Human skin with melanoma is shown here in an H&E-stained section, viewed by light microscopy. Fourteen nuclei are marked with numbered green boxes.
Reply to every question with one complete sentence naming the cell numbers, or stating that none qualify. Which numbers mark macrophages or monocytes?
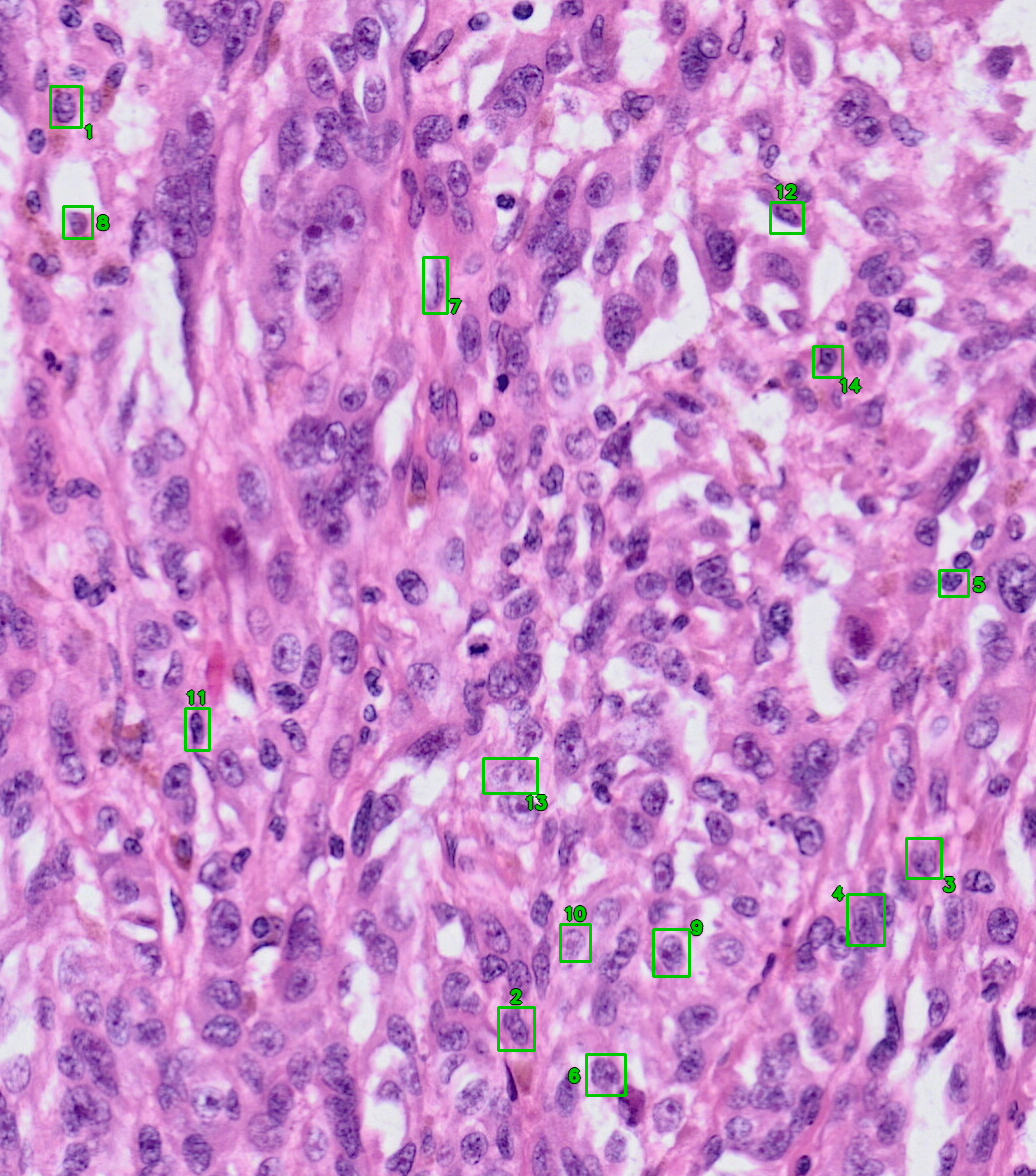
The cells with the numbers 1, 8 and 14 are macrophages or monocytes.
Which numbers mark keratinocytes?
Among the marked and numbered cells, keratinocytes do not occur.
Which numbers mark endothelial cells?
Only cell 7 should be marked as an endothelial cell.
